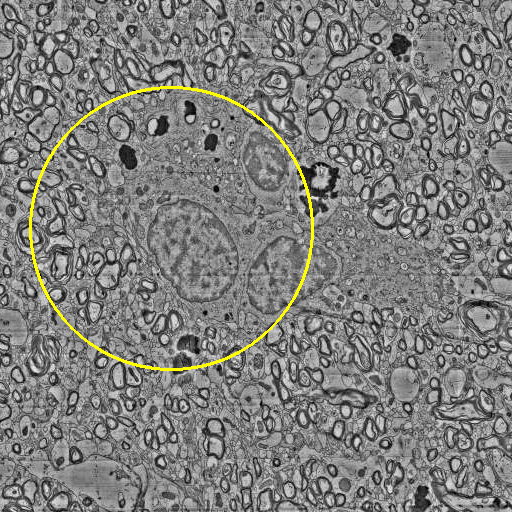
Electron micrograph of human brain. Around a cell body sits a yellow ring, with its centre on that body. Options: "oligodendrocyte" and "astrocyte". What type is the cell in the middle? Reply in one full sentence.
The cell sitting at the centre of the yellow ring is an oligodendrocyte.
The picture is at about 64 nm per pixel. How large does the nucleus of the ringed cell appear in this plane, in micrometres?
In this plane, roughly 7 by 5 micrometres.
